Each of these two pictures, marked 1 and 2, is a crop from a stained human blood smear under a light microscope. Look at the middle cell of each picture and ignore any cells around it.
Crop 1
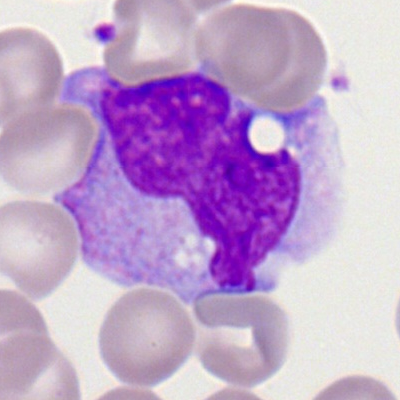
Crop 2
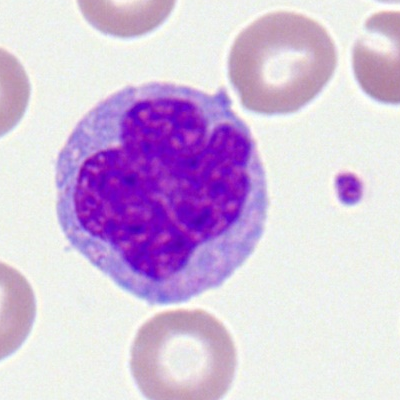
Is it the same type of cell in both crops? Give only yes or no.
yes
